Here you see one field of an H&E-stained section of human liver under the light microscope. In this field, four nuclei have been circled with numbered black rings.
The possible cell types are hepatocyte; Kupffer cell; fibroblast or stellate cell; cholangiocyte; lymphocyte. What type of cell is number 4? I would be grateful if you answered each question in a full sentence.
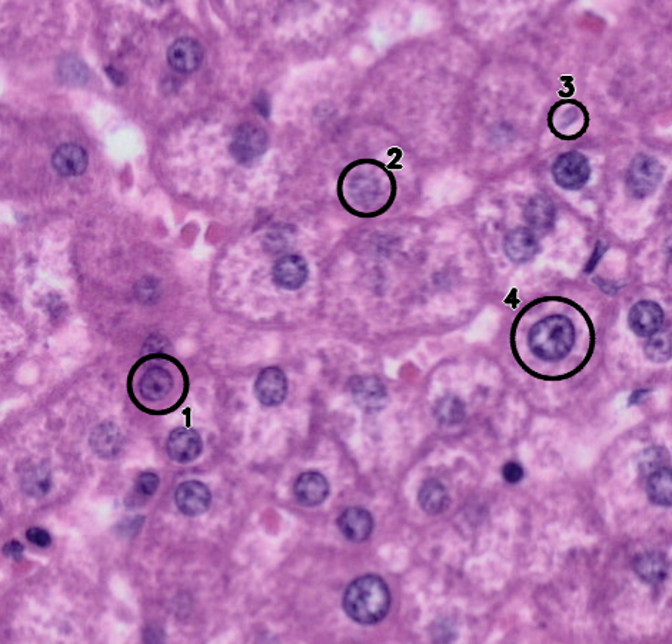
The cell bearing label 4 corresponds to a hepatocyte.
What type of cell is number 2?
The correct label for cell 2 is a hepatocyte.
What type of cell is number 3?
The cell numbered 3 represents a Kupffer cell.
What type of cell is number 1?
The numbered cell 1 in this field is a hepatocyte.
